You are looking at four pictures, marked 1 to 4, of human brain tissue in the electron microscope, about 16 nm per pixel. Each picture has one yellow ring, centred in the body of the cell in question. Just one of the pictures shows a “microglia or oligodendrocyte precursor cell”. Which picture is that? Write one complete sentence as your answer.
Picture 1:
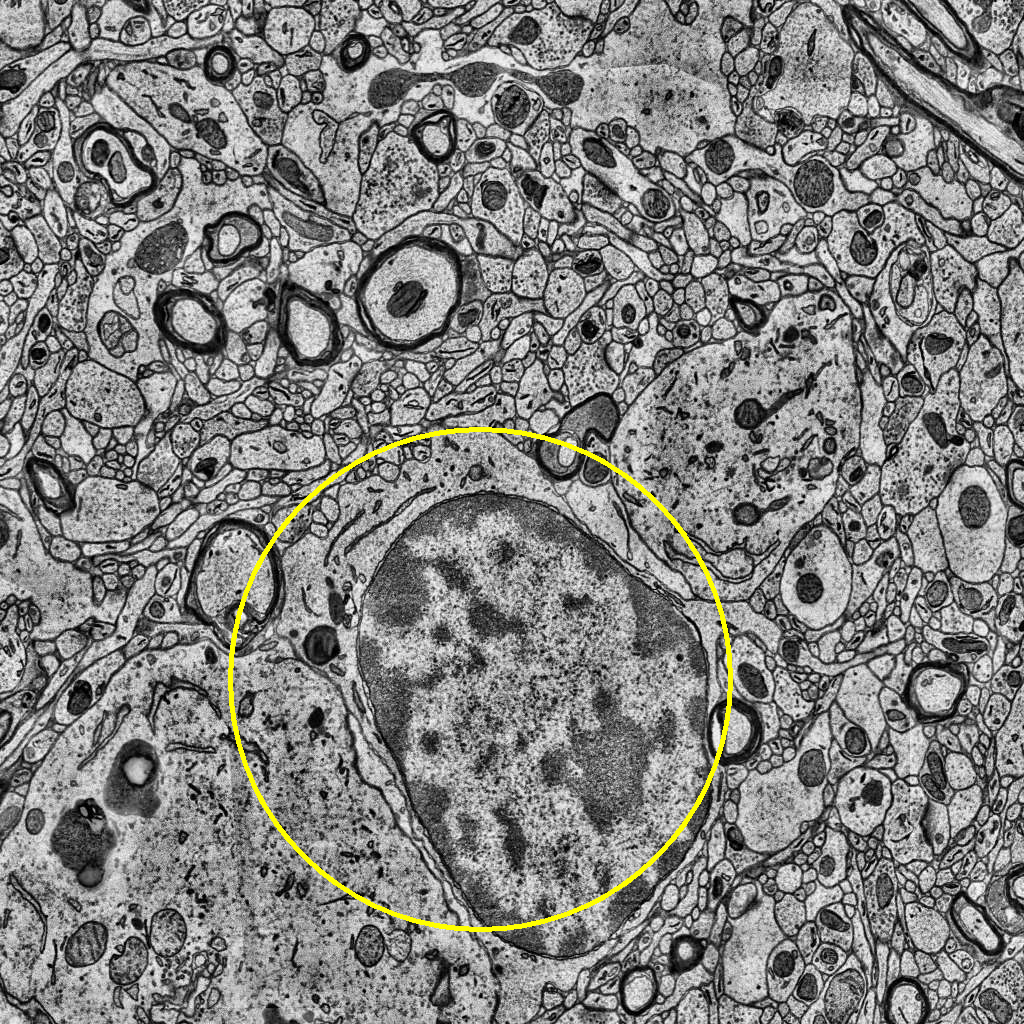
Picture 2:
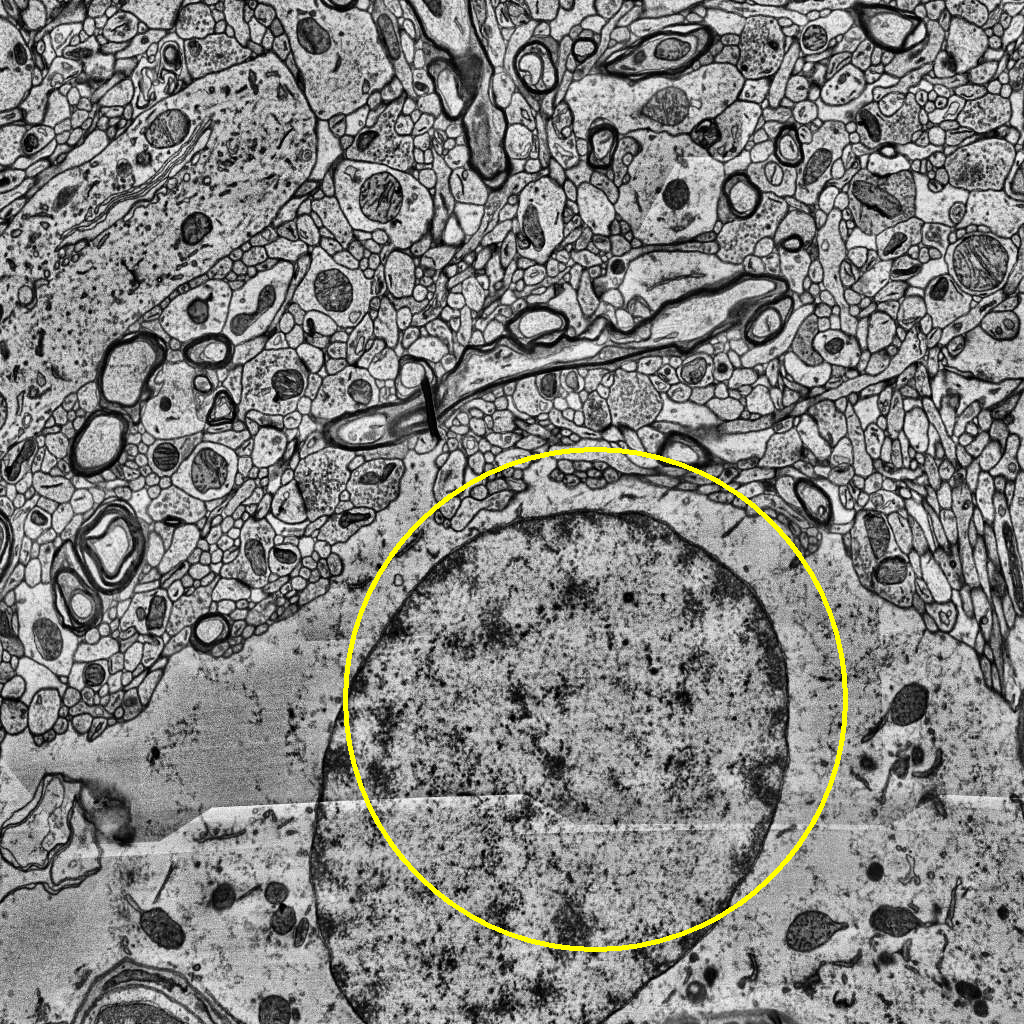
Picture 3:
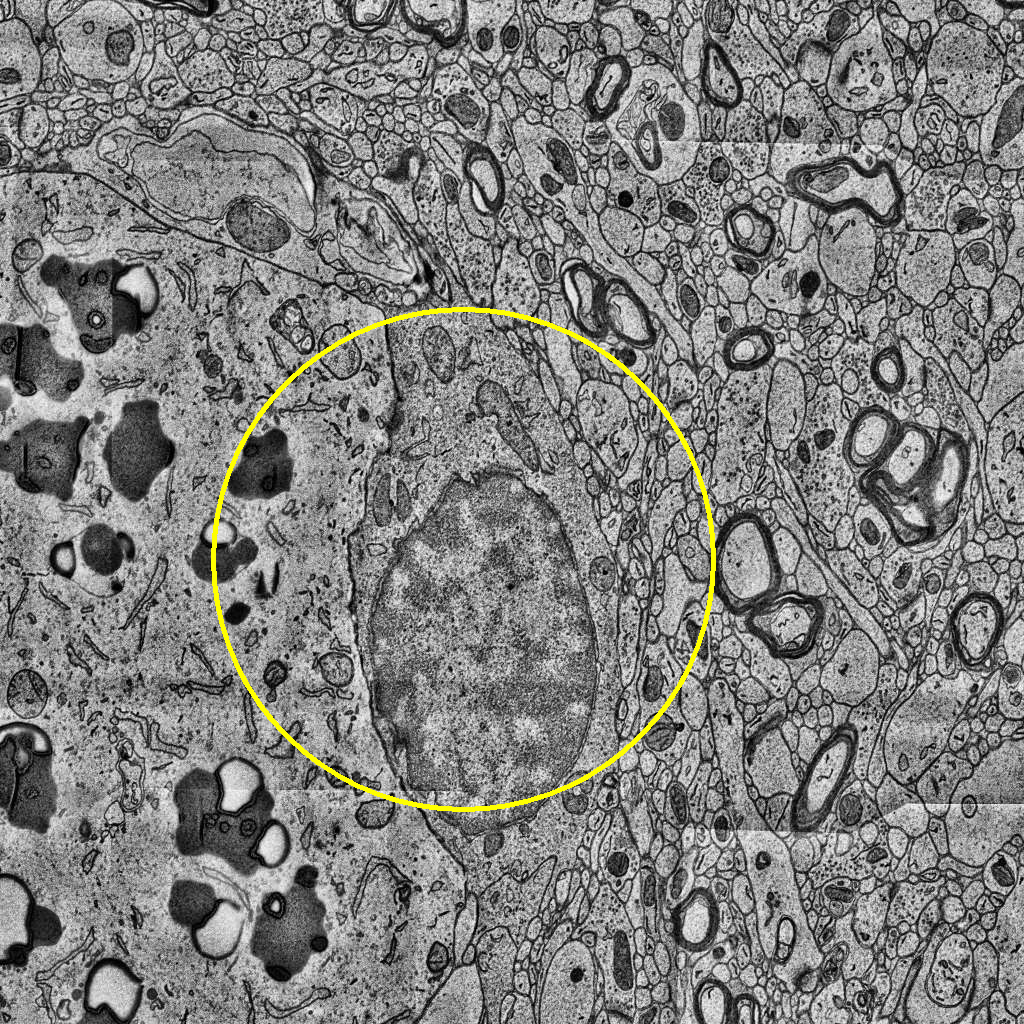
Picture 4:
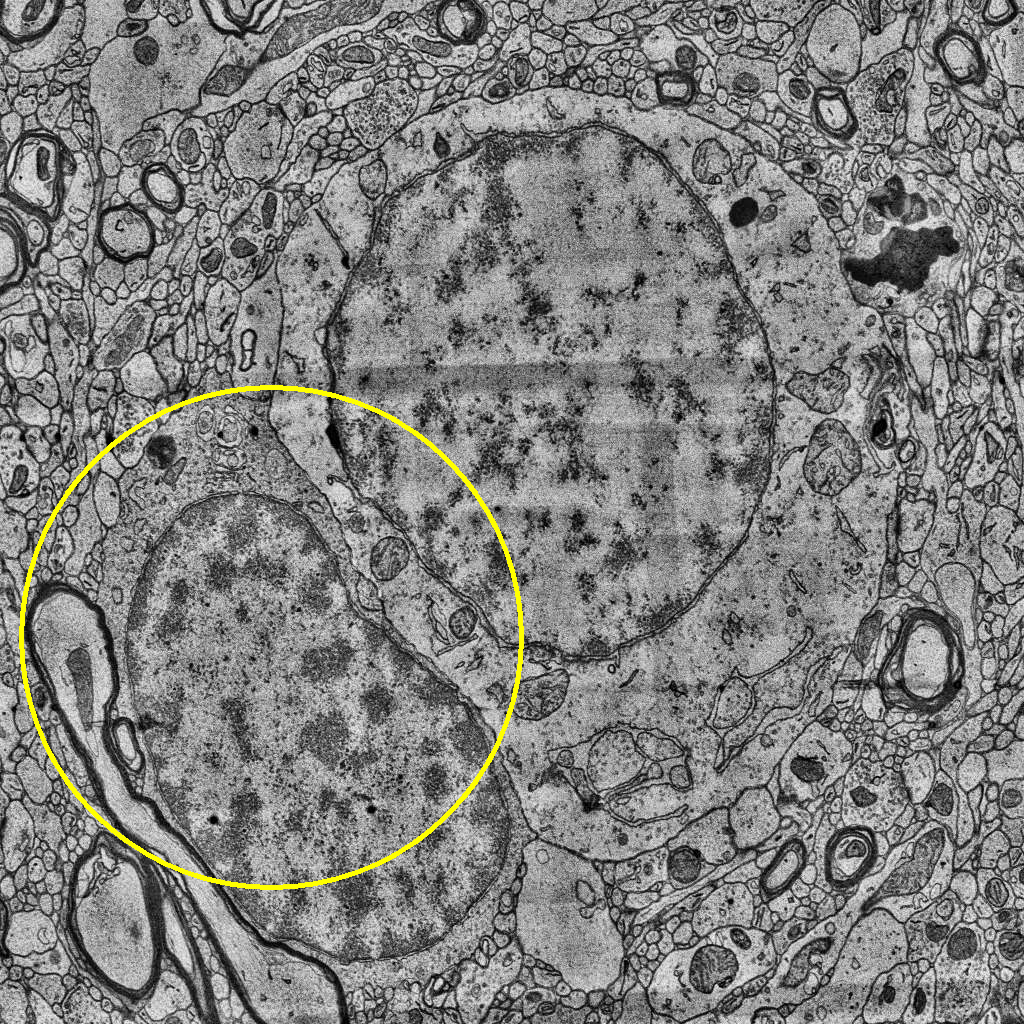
The cell in picture 1 is the “microglia or oligodendrocyte precursor cell”.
